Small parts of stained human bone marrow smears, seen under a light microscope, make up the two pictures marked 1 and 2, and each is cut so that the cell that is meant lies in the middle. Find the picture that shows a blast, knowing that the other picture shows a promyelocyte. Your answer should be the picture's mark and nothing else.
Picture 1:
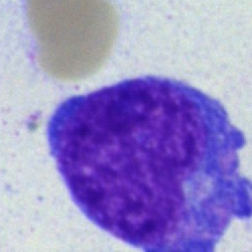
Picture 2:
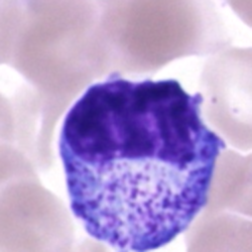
1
